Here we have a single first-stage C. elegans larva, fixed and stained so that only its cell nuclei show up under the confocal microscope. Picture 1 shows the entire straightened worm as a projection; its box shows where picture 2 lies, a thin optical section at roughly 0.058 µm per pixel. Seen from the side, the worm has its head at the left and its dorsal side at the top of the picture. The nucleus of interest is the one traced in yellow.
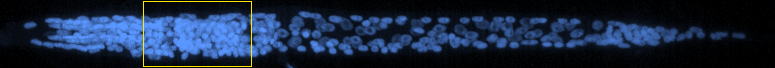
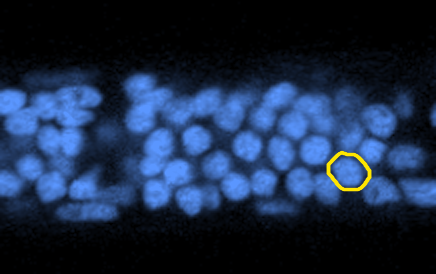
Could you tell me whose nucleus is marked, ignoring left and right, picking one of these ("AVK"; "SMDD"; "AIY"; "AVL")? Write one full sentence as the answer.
The marked cell is AVK, a neuron.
